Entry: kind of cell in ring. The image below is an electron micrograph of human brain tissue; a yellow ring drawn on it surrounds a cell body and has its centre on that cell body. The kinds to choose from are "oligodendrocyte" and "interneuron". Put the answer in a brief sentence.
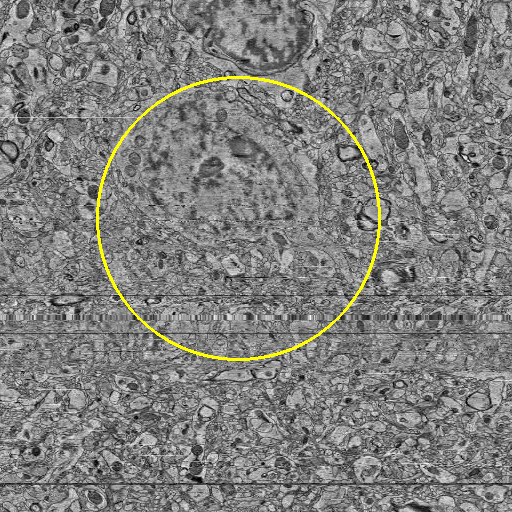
The ring has been drawn around an interneuron.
